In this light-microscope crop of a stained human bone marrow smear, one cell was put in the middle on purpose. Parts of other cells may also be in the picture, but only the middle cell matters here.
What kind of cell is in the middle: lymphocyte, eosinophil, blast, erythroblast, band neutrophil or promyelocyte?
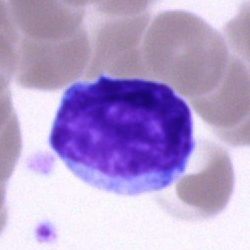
lymphocyte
